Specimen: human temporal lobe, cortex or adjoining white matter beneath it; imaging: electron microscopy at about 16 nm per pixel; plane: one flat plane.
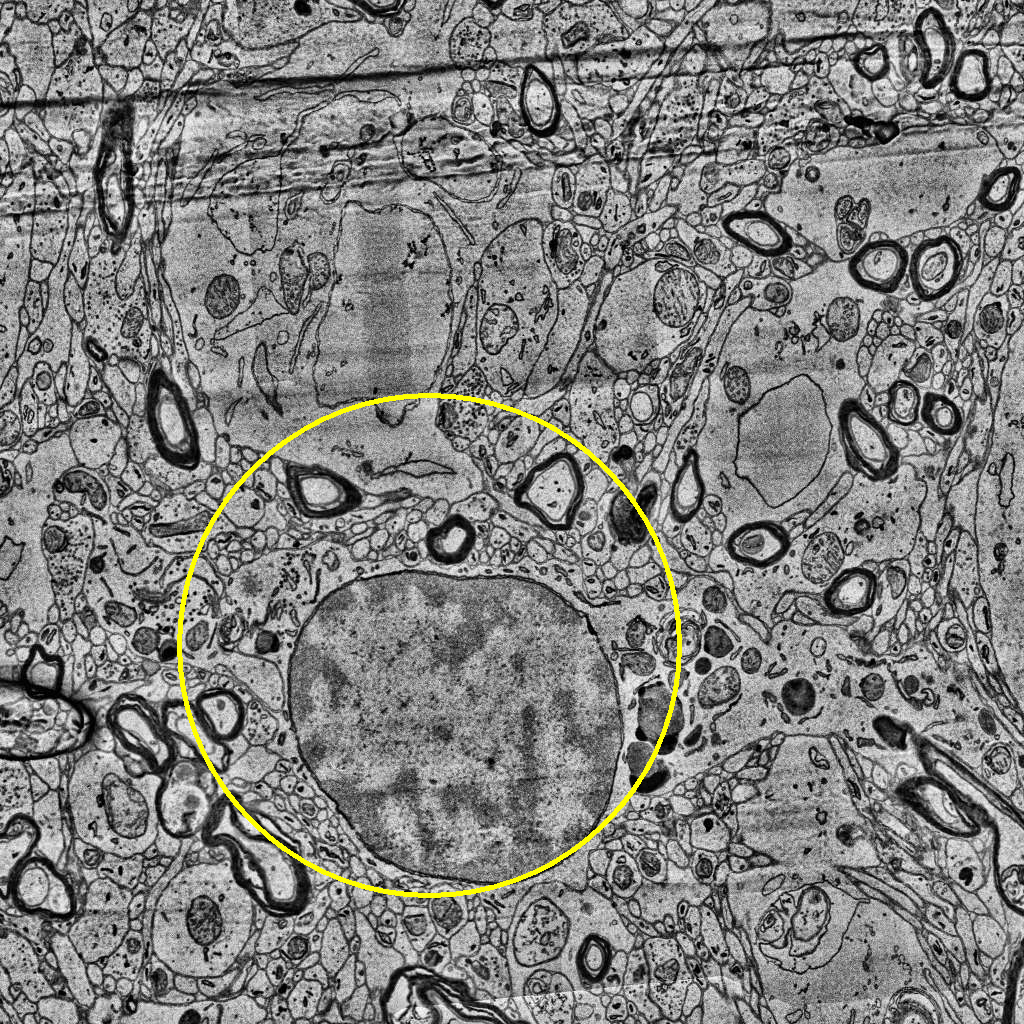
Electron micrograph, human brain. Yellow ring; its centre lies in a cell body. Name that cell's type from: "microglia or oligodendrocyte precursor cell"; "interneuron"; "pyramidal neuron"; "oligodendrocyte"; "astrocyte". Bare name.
microglia or oligodendrocyte precursor cell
